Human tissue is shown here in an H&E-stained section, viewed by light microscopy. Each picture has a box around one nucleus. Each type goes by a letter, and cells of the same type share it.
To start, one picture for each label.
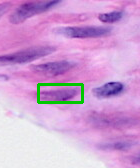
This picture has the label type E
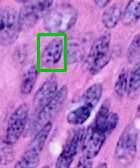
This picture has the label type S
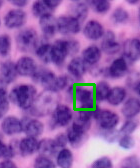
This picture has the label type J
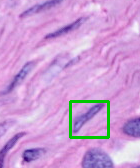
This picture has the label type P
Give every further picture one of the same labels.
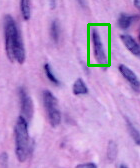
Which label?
type P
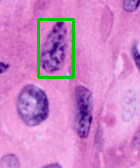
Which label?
type S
